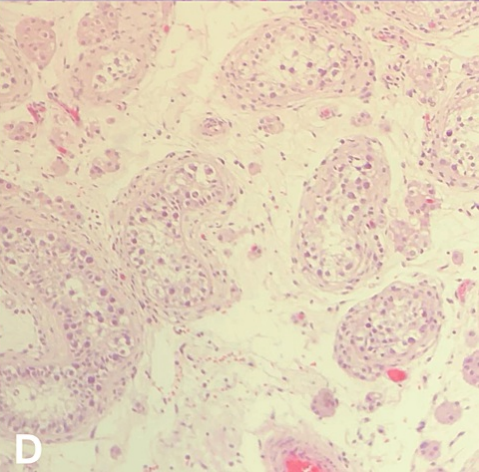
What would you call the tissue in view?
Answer: Seminiferous tubules.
